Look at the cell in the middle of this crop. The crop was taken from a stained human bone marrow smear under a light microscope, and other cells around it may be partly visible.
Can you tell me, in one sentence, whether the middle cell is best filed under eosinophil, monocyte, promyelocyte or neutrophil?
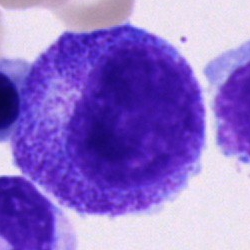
In short, the cell at the center is a promyelocyte.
